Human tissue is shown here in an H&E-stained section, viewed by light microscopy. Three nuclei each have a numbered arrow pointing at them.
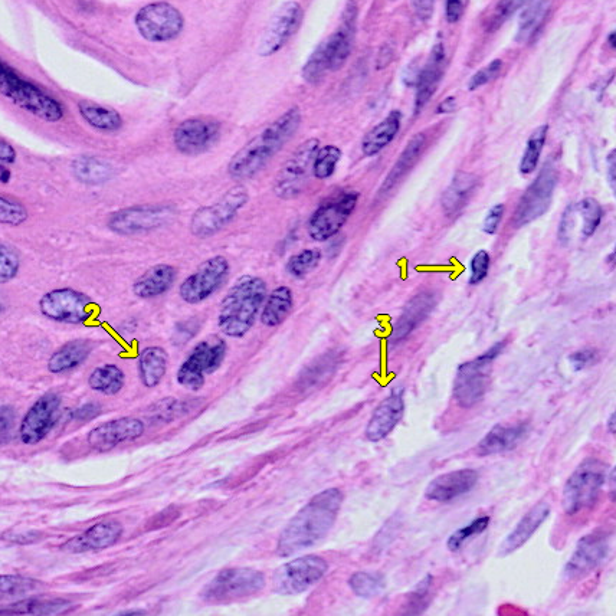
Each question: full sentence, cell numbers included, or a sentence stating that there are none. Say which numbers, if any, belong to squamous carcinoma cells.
Response: cell 2 is a squamous carcinoma cell, and no other numbered cell is.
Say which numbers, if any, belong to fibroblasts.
Just one of the numbered cells is a fibroblast, namely number 3.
